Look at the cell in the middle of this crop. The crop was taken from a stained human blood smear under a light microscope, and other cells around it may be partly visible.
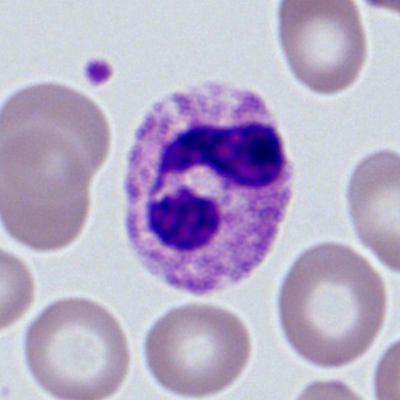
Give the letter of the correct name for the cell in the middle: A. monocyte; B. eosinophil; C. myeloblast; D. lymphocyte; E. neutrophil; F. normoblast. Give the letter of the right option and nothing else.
E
